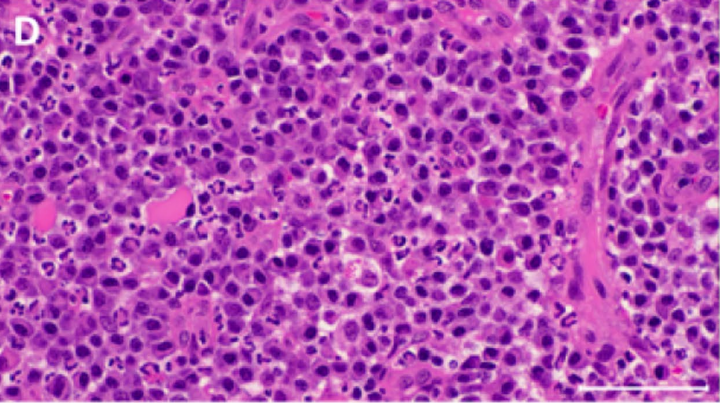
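Densely packed round inflammatory cells fill the tissue, many with eccentric dark nuclei and pink to purple cytoplasm. Small blood vessels with plump lining cells run through the infiltrate, and a few pink homogeneous deposits lie between the cells.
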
